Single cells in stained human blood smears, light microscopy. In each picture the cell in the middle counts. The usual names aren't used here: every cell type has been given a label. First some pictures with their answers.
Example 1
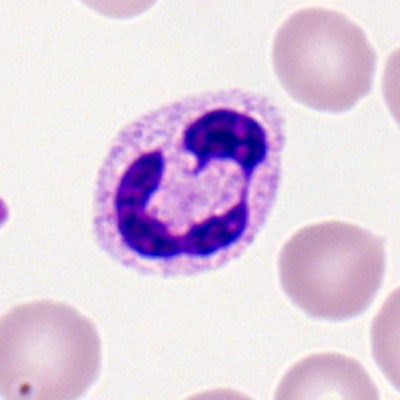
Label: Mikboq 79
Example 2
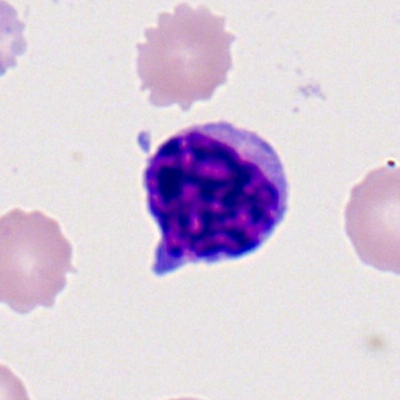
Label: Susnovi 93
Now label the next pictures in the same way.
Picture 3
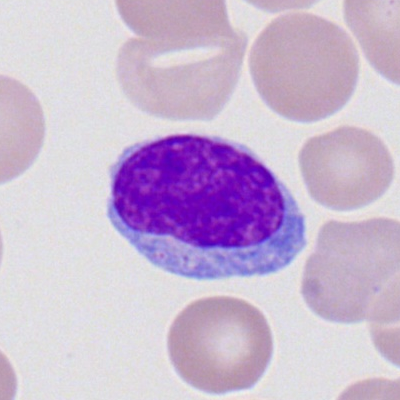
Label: Susnovi 93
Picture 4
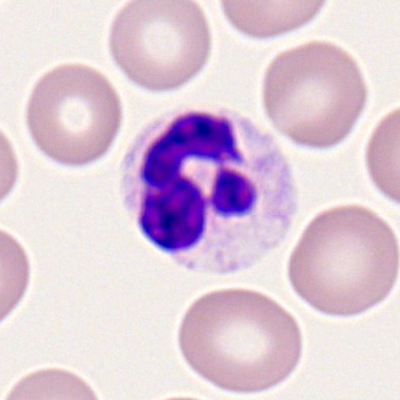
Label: Mikboq 79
